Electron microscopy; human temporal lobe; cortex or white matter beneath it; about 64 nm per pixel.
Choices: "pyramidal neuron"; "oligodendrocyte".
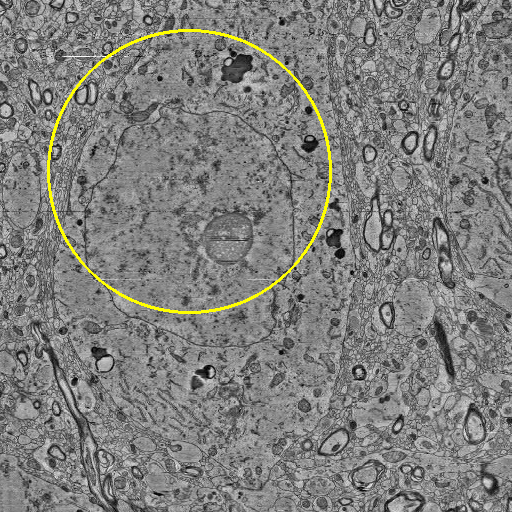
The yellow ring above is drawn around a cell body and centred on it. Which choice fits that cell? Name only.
pyramidal neuron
